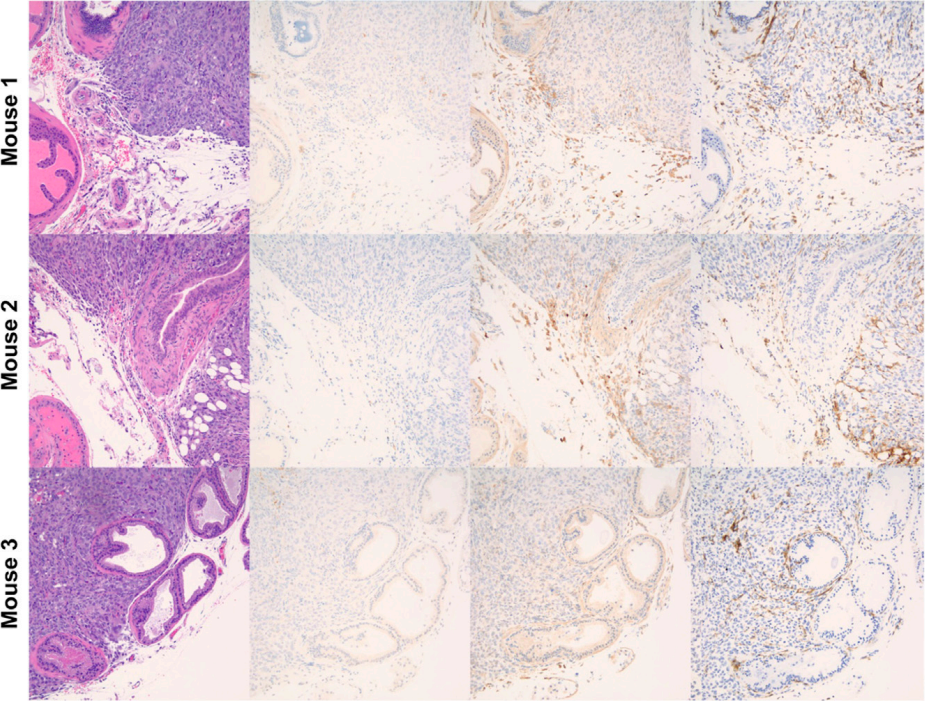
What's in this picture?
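These sections show the edge of a tumor in the prostate, where densely packed tumor cells meet prostatic glands and loose surrounding tissue. In the pink-and-purple stained images, the tumor forms solid sheets of crowded cells with dark nuclei. Beside them lie glands lined by epithelium, several filled with pink secretion, and pale loose stroma with clear, empty-looking fat cells. In the brown-stained images, scattered brown cells, many elongated or branched, lie mostly in the stroma at the tumor edge against a blue counterstain, while one column shows little brown.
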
